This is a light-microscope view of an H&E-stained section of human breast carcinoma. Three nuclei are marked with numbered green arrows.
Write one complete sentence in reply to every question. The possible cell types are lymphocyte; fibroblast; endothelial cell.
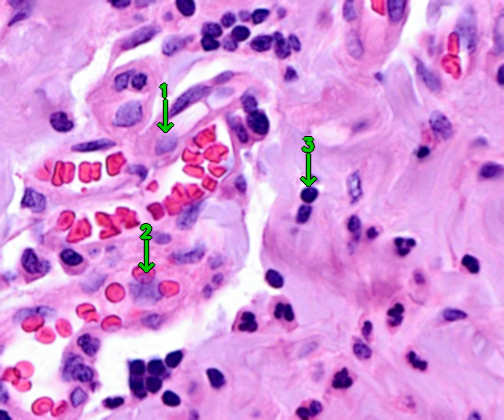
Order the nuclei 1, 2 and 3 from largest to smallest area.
Largest first, the order by area is 2, 1, 3.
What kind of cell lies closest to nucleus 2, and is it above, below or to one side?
Just below nucleus 2 lies the nearest nucleus, which belongs to an endothelial cell.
